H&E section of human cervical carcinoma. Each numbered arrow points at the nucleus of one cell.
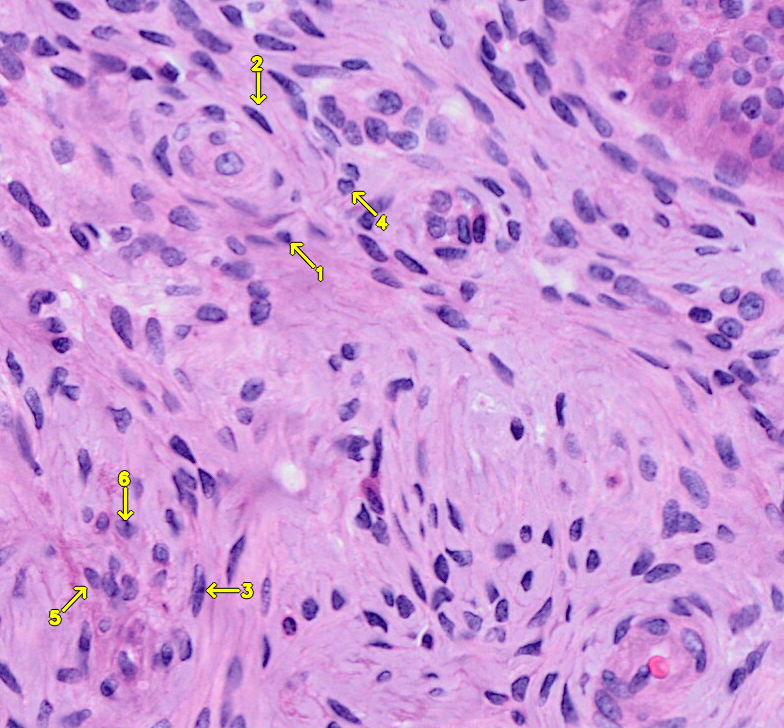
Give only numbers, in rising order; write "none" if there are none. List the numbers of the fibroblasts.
1, 2, 3, 4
